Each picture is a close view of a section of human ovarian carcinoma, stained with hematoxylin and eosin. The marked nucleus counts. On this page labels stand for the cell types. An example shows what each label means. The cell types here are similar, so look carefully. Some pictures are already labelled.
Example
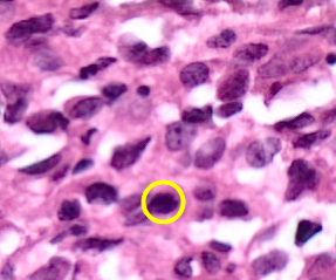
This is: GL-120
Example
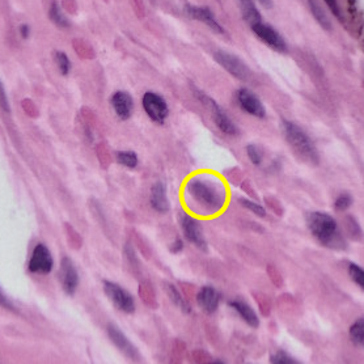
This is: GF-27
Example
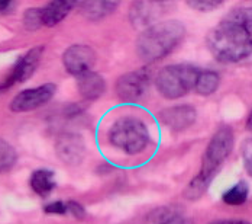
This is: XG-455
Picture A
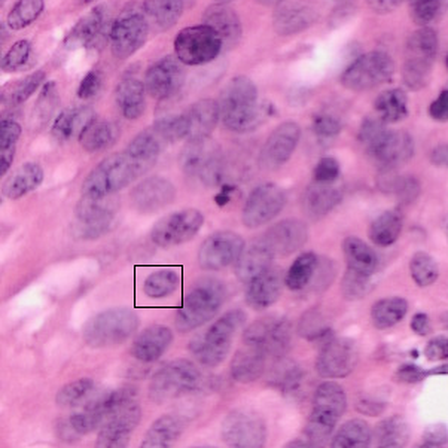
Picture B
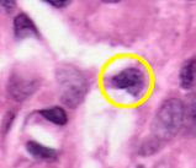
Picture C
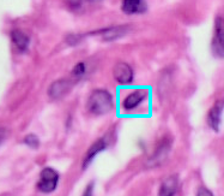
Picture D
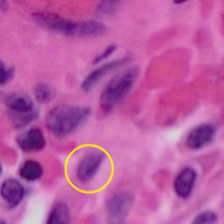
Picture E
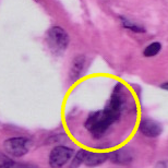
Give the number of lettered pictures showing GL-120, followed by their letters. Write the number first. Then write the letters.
Count: 1 (E)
